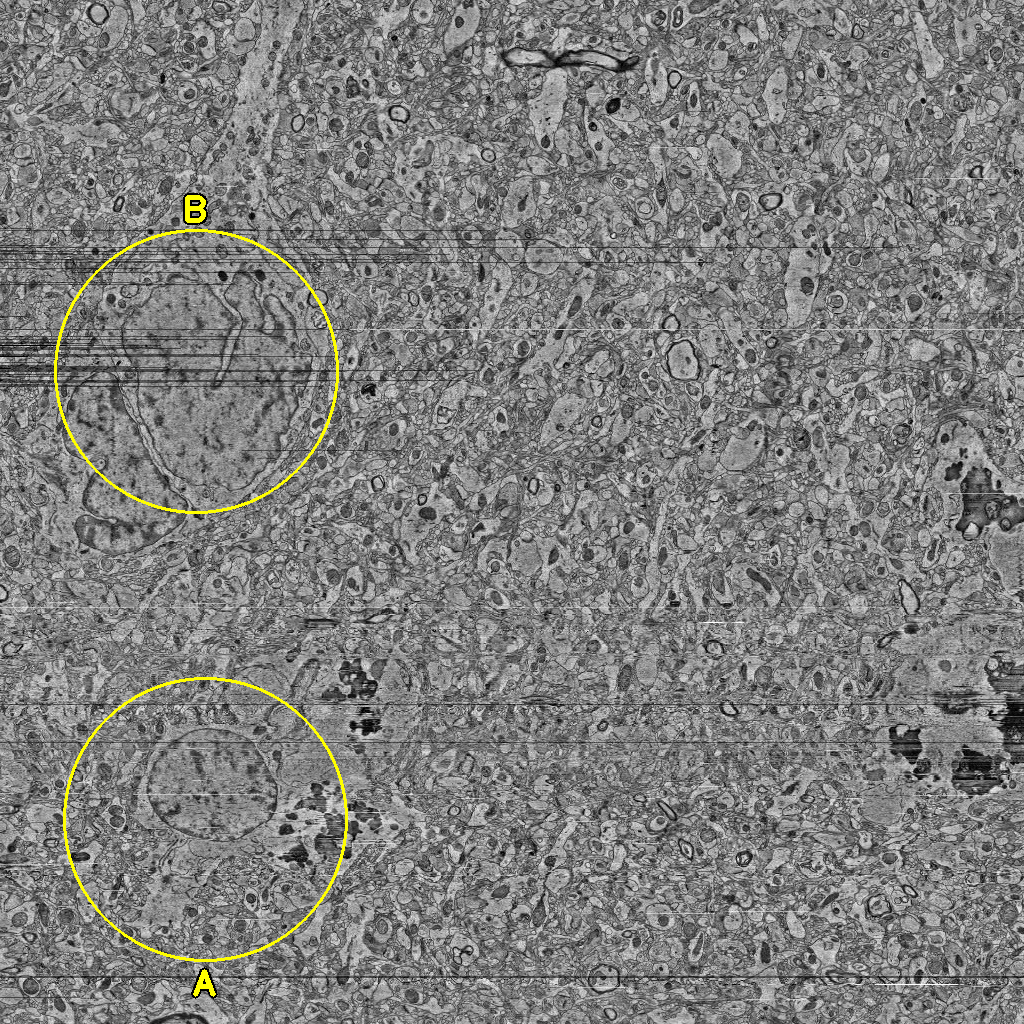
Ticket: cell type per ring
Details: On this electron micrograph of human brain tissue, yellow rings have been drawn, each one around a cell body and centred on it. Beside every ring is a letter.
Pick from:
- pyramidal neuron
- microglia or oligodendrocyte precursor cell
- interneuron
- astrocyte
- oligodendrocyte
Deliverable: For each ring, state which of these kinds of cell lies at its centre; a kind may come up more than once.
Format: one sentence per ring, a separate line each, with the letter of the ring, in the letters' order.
The cell body ringed as A belongs to an astrocyte.
The cell body ringed as B belongs to an interneuron.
